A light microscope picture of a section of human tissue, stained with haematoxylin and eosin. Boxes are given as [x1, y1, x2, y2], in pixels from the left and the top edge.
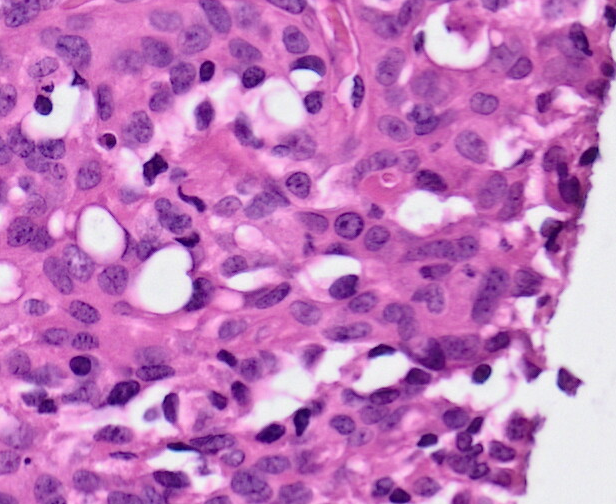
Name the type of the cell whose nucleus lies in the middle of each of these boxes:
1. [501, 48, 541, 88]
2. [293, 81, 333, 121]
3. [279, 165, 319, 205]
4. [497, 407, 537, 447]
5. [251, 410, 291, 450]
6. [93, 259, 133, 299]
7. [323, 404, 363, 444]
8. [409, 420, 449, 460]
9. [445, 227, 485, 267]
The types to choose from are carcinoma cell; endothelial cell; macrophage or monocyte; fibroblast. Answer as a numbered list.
1. carcinoma cell
2. macrophage or monocyte
3. macrophage or monocyte
4. macrophage or monocyte
5. carcinoma cell
6. carcinoma cell
7. macrophage or monocyte
8. carcinoma cell
9. carcinoma cell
